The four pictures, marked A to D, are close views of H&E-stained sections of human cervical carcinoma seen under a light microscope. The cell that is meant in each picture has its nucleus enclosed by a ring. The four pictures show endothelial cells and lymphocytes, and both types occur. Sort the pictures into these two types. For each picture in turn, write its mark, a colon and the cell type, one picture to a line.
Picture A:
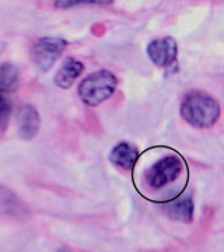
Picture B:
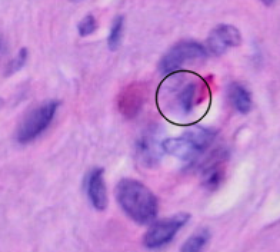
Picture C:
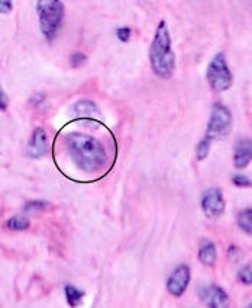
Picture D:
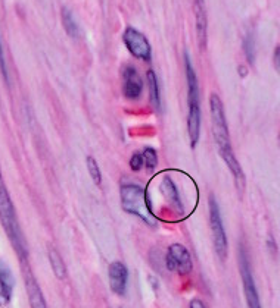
A: lymphocyte
B: endothelial cell
C: endothelial cell
D: endothelial cell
